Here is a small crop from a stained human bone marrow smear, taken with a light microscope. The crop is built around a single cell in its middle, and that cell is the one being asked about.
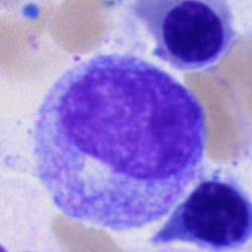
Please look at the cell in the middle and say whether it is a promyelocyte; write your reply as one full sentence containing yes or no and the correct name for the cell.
Yes, that is a promyelocyte in the middle of the crop.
